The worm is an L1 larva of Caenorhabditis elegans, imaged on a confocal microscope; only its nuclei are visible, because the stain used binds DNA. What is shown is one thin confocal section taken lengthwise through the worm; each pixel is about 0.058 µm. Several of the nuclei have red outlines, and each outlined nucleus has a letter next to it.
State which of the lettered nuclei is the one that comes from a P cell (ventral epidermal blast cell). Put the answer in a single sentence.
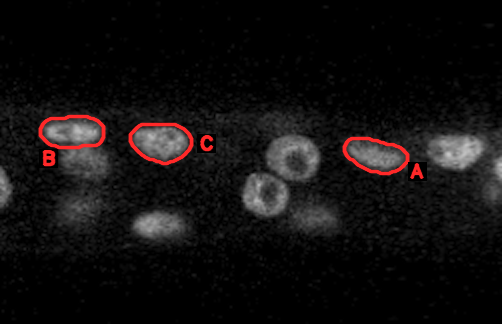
The one from a P cell (ventral epidermal blast cell) is C.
